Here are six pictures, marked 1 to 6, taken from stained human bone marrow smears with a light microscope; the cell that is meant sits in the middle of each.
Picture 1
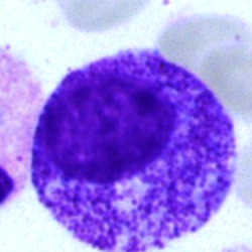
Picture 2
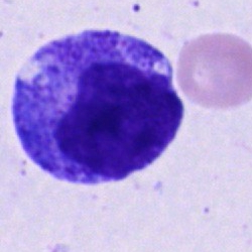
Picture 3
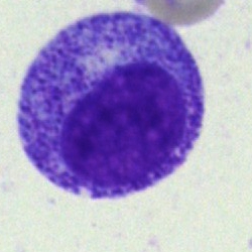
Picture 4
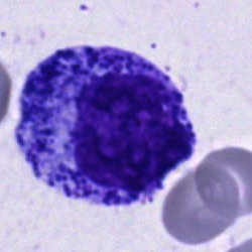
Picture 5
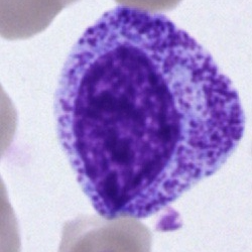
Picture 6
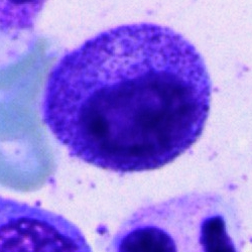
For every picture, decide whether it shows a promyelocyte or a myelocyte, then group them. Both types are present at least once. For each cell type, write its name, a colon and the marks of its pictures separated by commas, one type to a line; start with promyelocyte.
promyelocyte: 2, 4
myelocyte: 1, 3, 5, 6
